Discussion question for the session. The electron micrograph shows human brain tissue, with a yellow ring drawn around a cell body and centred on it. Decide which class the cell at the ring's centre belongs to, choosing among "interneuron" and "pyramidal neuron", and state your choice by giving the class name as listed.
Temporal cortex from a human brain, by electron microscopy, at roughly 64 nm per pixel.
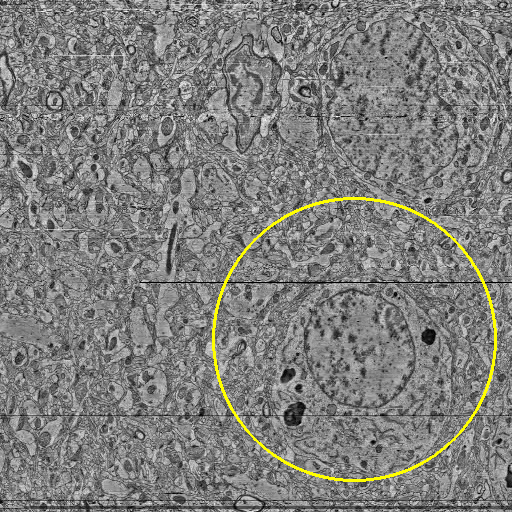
pyramidal neuron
